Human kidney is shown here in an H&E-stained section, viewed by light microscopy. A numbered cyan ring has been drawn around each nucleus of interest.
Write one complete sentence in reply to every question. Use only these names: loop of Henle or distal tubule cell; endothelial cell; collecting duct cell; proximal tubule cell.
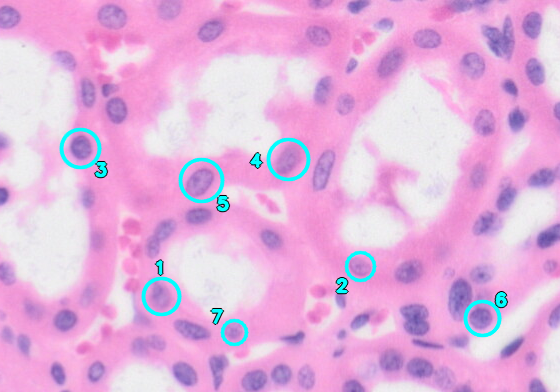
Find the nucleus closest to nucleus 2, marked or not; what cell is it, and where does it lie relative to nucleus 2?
The closest nucleus belongs to an endothelial cell and sits below and to the left of nucleus 2.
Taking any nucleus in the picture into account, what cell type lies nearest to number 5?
The nucleus nearest to number 5 is that of a collecting duct cell.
